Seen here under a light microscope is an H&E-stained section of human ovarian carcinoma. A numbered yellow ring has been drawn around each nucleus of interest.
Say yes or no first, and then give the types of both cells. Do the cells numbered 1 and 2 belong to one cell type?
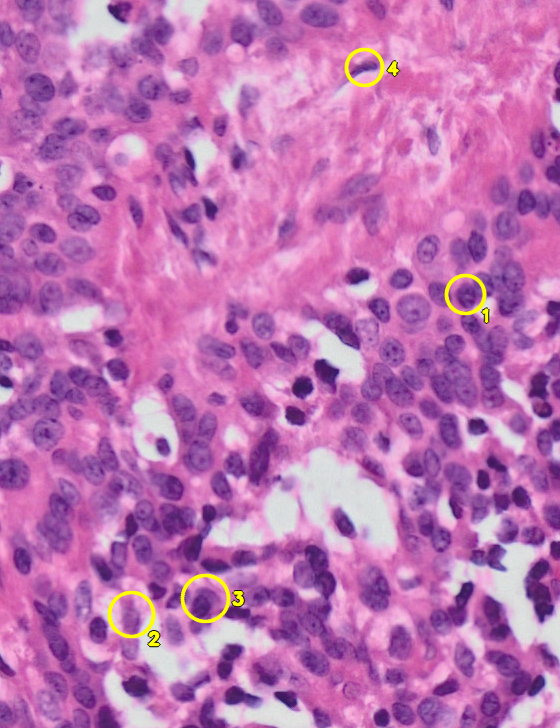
Yes, both are carcinoma cells.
